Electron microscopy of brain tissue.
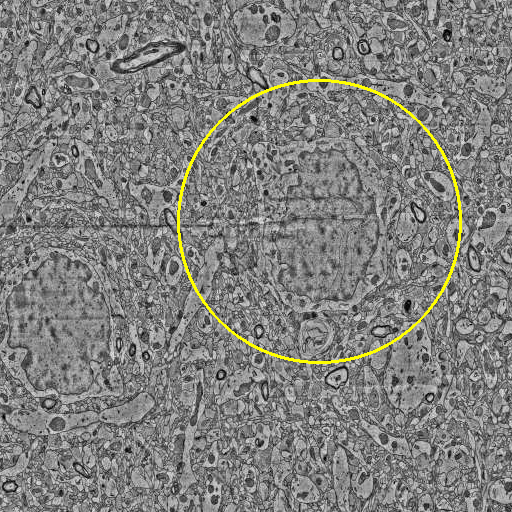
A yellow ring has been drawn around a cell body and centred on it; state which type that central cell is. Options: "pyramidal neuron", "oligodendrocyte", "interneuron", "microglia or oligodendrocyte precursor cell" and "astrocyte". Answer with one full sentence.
The cell at the middle of the yellow ring is an interneuron in this picture.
